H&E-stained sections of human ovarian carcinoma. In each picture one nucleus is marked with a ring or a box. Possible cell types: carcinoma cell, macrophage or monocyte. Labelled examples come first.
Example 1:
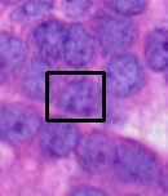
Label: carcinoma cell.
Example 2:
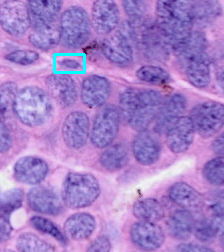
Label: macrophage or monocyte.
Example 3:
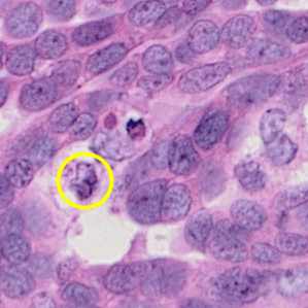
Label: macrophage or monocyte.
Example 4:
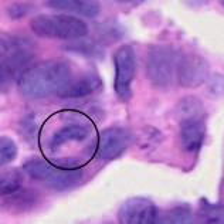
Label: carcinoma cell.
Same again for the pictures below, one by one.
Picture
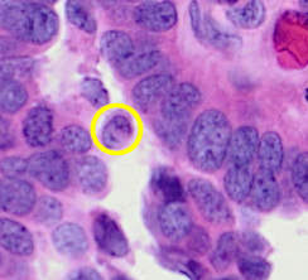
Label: macrophage or monocyte.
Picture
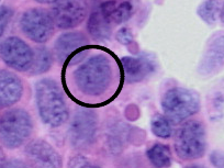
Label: carcinoma cell.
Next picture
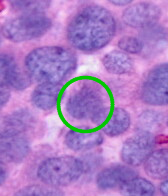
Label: carcinoma cell.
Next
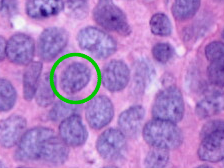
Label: carcinoma cell.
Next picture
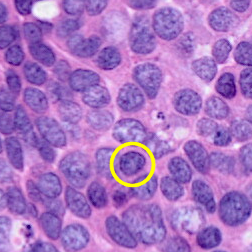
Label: carcinoma cell.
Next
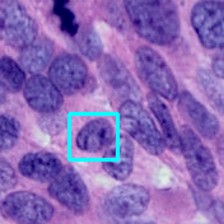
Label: macrophage or monocyte.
